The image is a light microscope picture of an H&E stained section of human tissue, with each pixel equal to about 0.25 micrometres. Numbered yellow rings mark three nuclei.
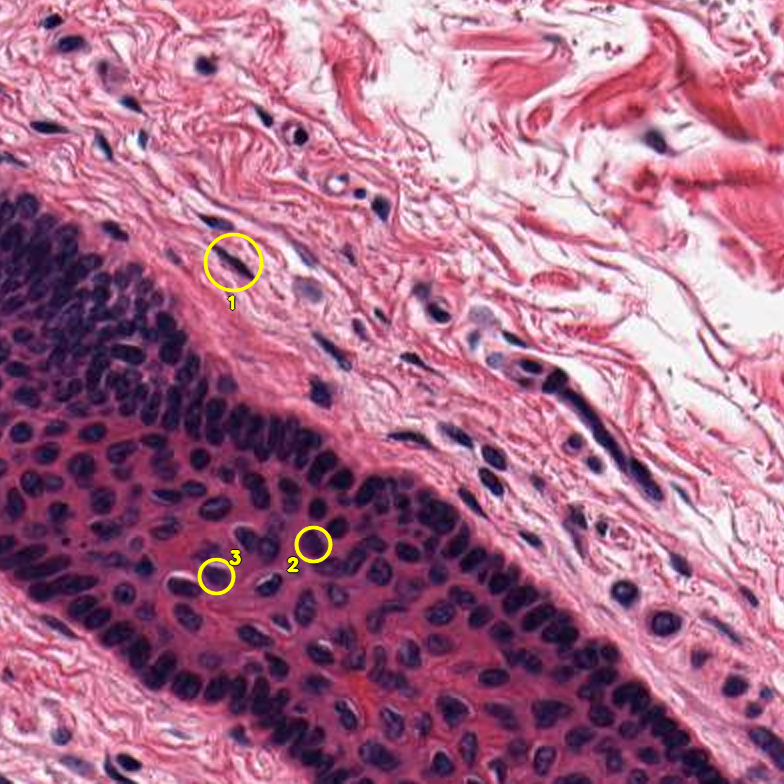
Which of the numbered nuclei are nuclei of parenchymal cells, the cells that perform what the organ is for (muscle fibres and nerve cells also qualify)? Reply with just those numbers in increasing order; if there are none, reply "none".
2, 3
